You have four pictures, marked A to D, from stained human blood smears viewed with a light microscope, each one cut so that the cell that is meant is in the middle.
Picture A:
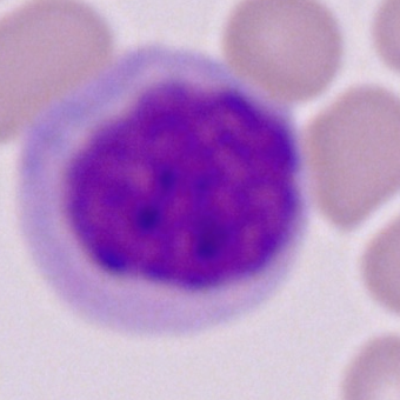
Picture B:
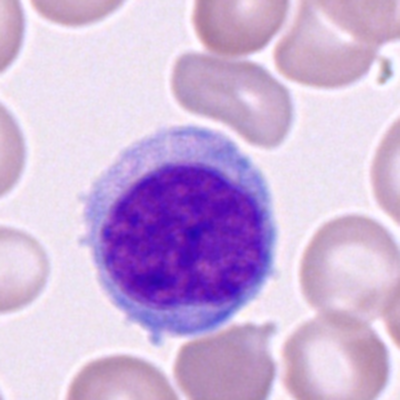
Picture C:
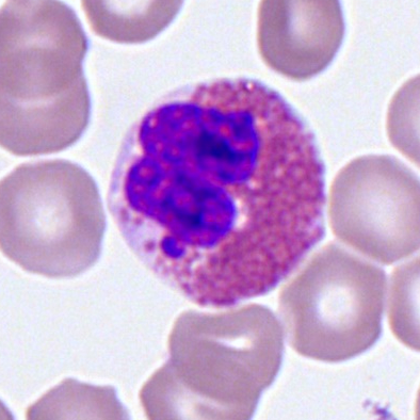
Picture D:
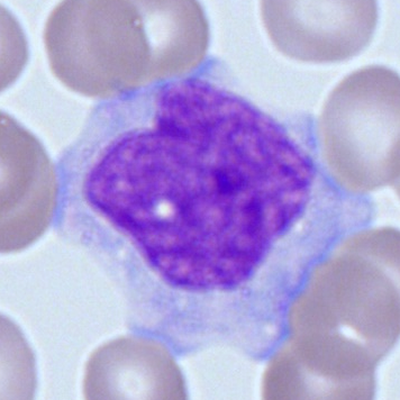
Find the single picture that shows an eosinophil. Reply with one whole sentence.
The picture with the eosinophil is C.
